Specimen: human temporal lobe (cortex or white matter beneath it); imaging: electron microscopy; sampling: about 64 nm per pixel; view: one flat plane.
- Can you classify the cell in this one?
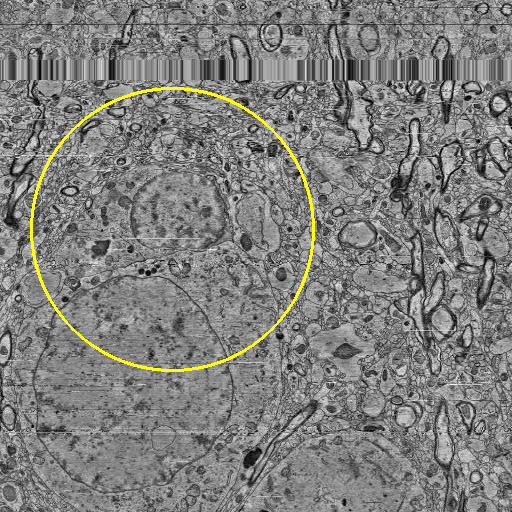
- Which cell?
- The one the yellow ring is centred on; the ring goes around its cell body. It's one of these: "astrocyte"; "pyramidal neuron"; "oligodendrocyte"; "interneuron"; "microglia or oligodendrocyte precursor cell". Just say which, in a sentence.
The cell body in the ring belongs to an oligodendrocyte.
